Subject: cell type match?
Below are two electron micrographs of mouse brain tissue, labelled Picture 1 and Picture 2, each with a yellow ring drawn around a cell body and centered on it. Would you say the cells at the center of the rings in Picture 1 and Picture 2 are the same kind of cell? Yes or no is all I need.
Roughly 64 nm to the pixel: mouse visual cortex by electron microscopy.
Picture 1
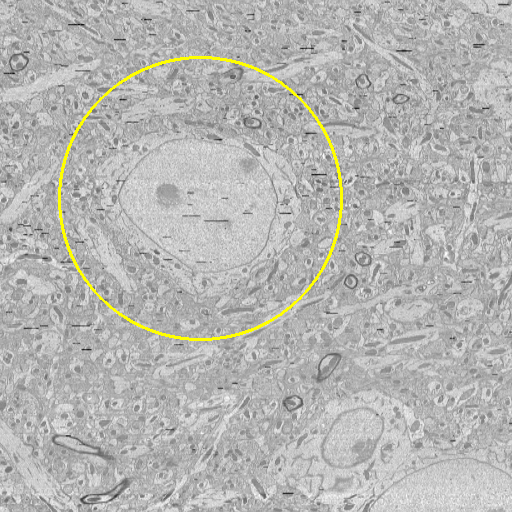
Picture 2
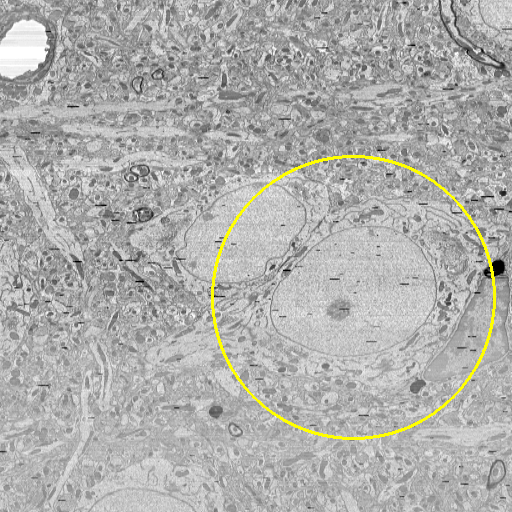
yes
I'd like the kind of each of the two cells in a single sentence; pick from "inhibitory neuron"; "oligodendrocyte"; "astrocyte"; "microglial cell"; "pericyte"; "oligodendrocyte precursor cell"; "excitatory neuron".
Each of the ringed cells, first and second, is an excitatory neuron.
